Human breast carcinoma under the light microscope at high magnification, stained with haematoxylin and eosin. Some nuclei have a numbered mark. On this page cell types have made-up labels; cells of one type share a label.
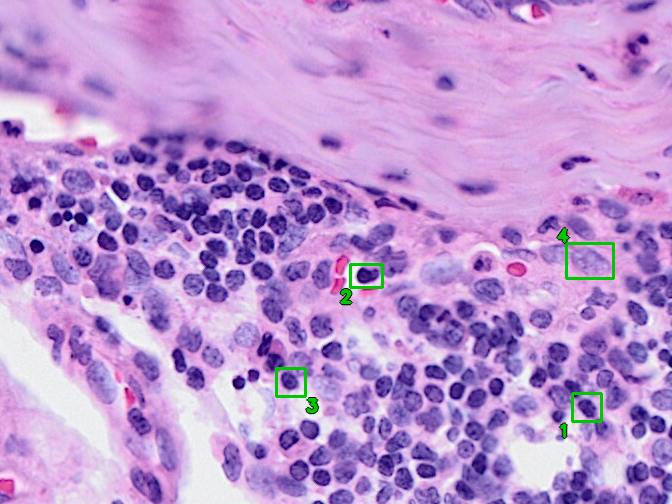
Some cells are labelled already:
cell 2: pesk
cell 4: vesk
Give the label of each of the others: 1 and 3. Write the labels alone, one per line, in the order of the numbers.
pesk
pesk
